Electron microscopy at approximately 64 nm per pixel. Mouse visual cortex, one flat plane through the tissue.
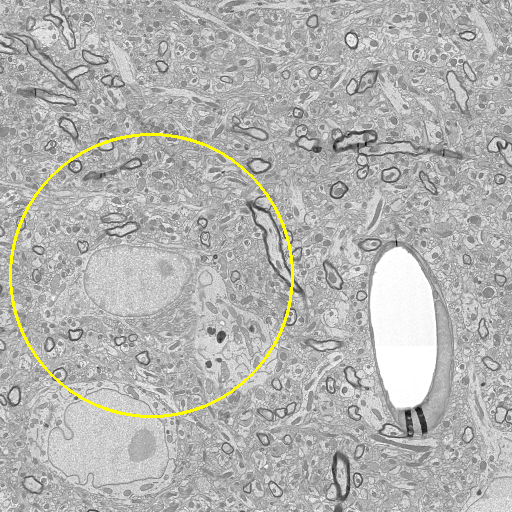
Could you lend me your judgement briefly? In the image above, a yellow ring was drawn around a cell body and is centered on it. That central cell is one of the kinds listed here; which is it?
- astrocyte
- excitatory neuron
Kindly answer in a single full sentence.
Going by the list, an astrocyte is the kind at the ring's center in the picture.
